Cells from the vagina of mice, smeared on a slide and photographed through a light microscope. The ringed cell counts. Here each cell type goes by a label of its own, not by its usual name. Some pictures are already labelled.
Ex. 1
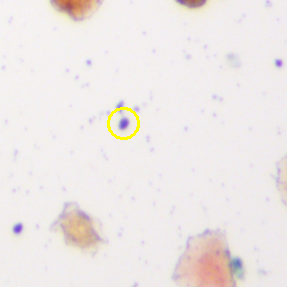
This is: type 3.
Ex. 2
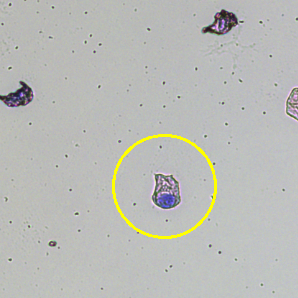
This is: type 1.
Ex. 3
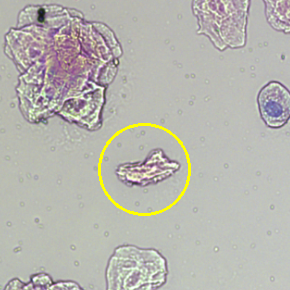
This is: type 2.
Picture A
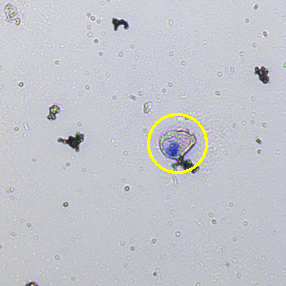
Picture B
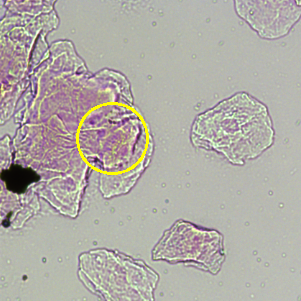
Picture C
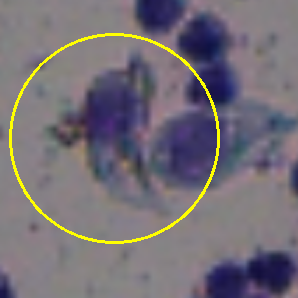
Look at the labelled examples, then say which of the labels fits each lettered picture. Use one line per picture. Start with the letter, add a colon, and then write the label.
A: type 1.
B: type 2.
C: type 1.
